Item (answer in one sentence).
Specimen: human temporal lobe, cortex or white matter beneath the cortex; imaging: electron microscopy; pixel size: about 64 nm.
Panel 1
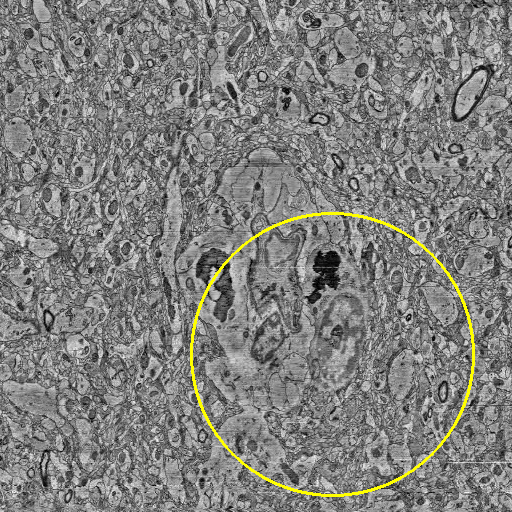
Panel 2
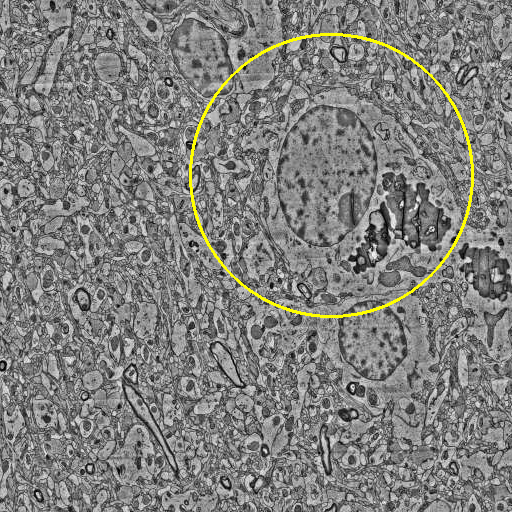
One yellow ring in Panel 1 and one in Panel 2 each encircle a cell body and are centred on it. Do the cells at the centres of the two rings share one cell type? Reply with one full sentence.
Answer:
No, Panel 1 and Panel 2 show cells of two types at the centres of their rings.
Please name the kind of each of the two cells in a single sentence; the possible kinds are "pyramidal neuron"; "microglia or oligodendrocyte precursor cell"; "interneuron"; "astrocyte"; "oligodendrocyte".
In the first picture the ring is centred on an oligodendrocyte, and in the second on an astrocyte.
